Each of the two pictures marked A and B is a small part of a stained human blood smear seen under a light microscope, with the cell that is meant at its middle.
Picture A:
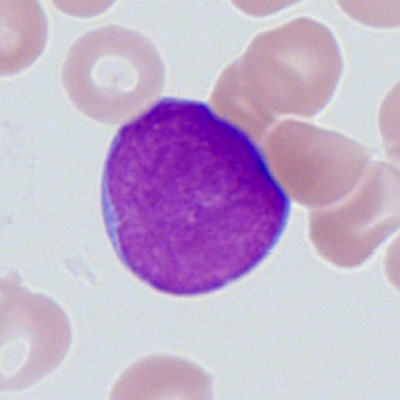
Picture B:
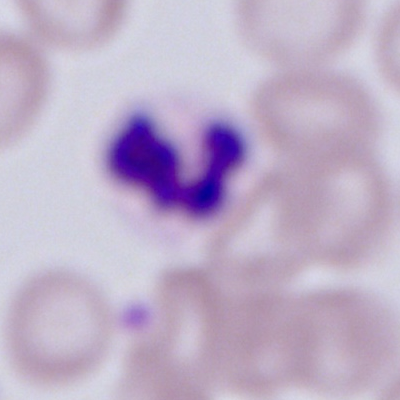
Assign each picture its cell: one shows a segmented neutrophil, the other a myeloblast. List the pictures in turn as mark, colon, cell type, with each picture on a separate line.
A: myeloblast
B: segmented neutrophil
